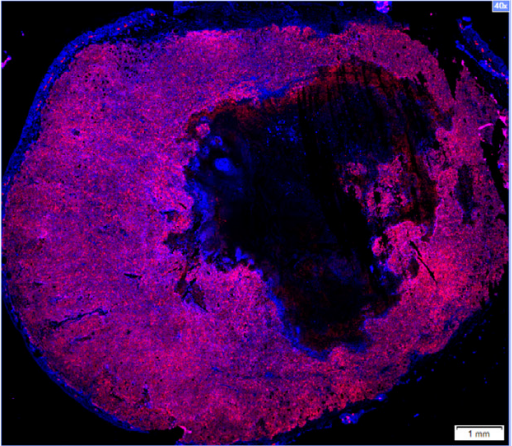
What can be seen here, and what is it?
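This whole tumor section shows a thick outer zone of viable tumor tissue, where red and blue overlap to give a pinkish-magenta tone. The irregular central necrotic zone is largely dark, with only faint scattered blue and little red.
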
